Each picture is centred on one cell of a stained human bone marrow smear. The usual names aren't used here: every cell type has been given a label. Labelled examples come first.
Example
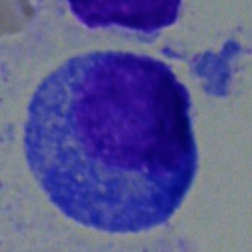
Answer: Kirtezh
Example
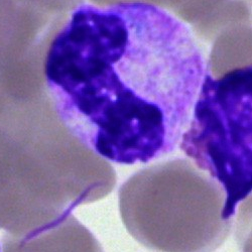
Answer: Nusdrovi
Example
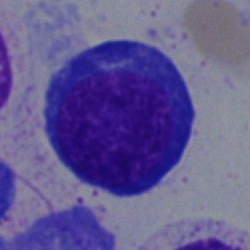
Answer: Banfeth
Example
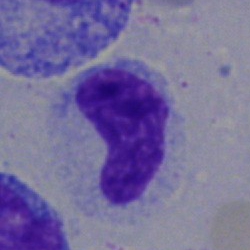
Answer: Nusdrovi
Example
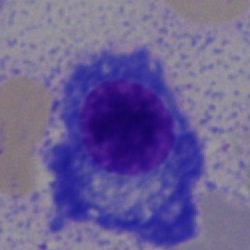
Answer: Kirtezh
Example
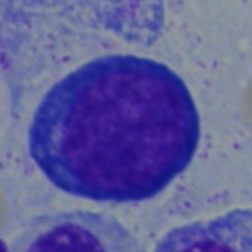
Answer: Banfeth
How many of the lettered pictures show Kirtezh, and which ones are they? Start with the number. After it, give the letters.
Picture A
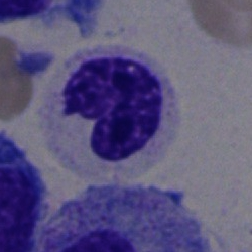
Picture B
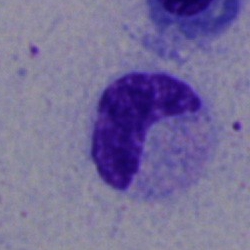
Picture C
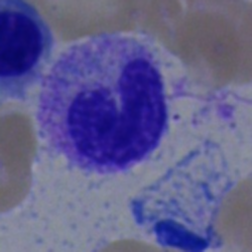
0, none of them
